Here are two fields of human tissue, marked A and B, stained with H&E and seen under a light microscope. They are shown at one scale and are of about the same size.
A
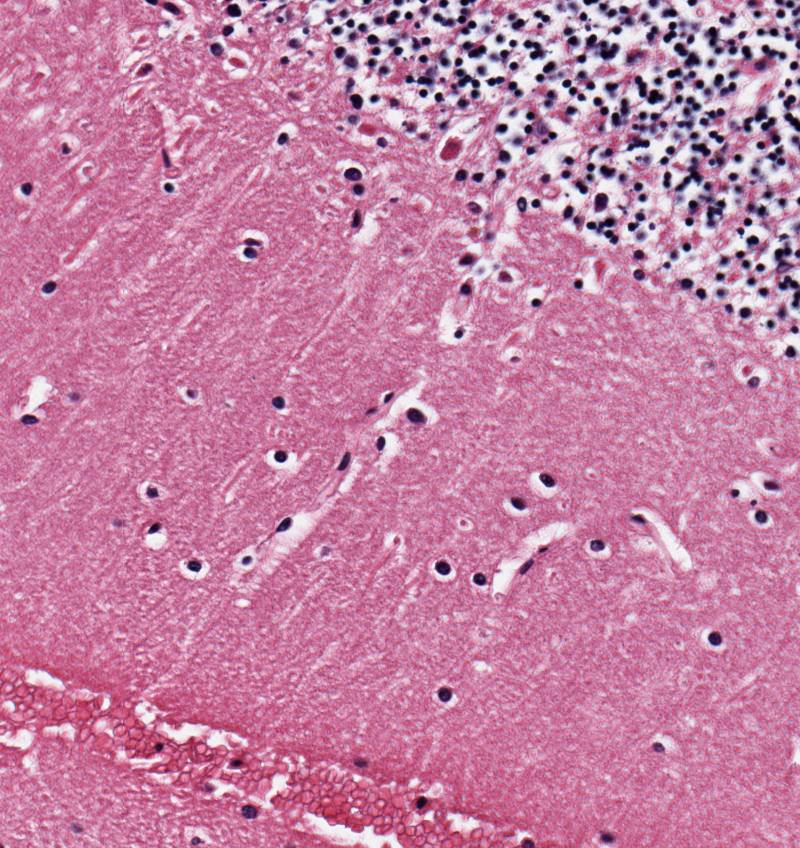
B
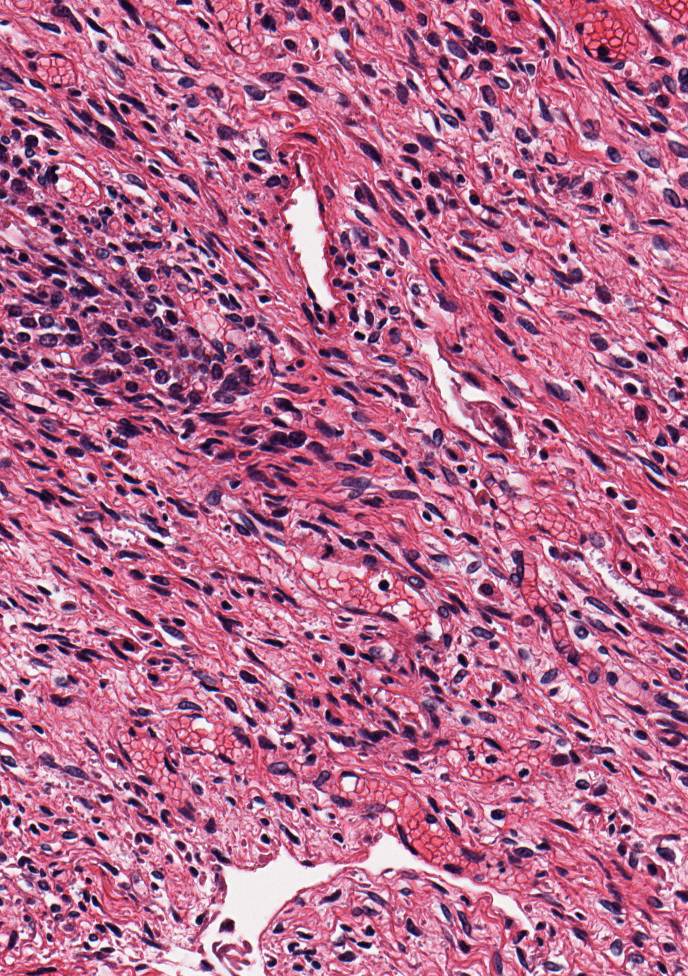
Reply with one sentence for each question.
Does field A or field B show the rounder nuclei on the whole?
On the whole the nuclei of field A are rounder than those of field B.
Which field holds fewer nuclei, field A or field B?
Field A holds fewer nuclei than field B.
